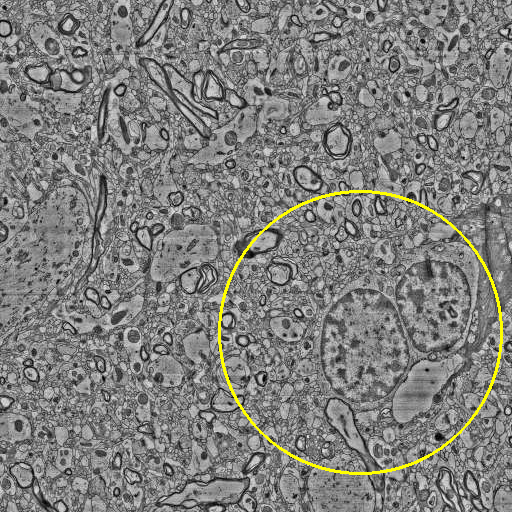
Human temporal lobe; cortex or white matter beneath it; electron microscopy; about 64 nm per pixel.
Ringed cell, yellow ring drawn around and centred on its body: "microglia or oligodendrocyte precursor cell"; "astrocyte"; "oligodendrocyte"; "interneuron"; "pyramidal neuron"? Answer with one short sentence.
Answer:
This ringed cell is an oligodendrocyte.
